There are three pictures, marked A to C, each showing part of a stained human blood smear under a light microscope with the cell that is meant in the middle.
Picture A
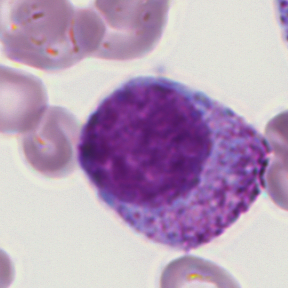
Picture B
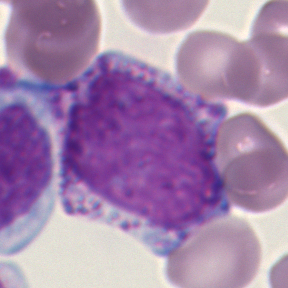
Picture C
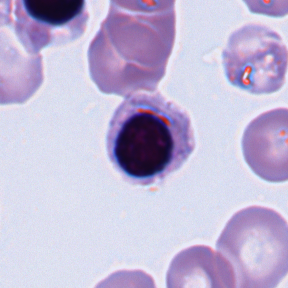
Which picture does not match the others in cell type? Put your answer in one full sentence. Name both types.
Picture C differs, because its cell is a normoblast and the rest are promyelocytes.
